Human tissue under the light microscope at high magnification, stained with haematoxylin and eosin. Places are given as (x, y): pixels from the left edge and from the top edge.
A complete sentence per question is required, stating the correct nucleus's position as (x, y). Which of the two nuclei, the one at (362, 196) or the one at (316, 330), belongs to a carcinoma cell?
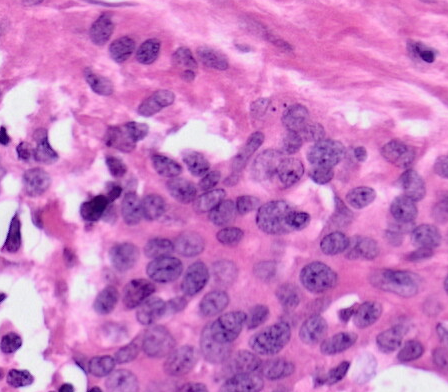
Identified as belonging to a carcinoma cell is the nucleus at (316, 330).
